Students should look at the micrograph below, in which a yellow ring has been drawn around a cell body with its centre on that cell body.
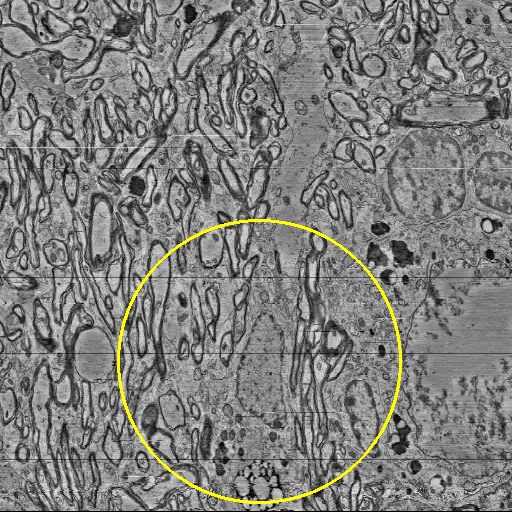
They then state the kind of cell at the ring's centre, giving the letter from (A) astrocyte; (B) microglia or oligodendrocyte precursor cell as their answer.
A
